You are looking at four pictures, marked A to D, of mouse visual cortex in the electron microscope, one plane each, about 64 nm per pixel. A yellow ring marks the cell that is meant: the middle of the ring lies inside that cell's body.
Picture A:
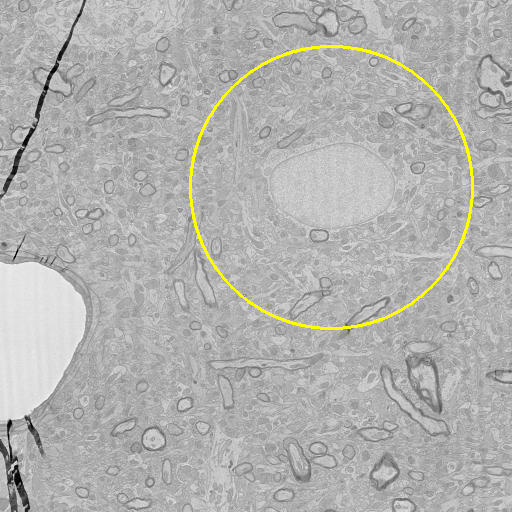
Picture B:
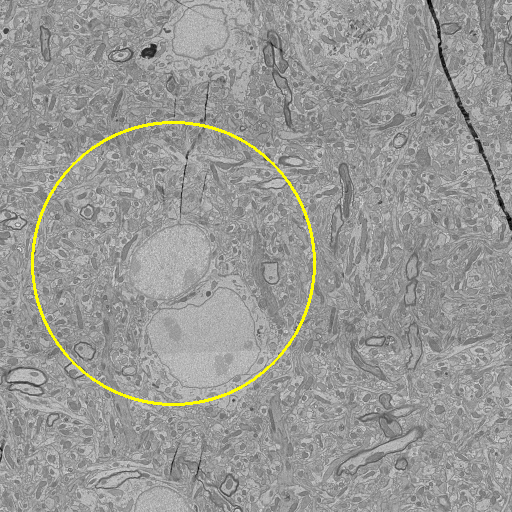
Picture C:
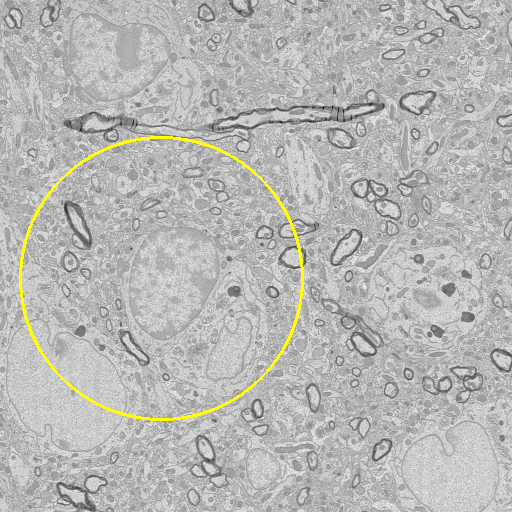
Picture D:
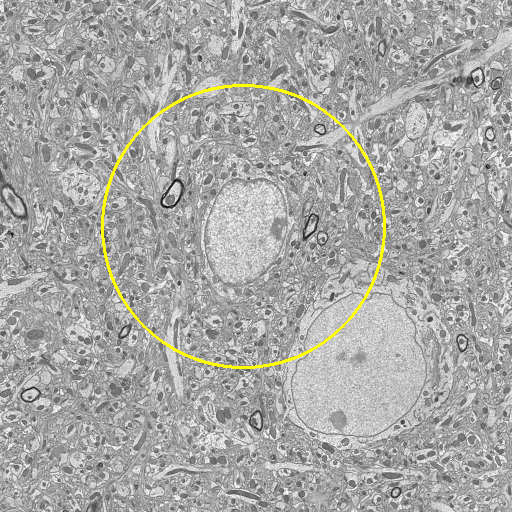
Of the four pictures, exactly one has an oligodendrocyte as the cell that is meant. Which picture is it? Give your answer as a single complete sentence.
The picture with the oligodendrocyte is C.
